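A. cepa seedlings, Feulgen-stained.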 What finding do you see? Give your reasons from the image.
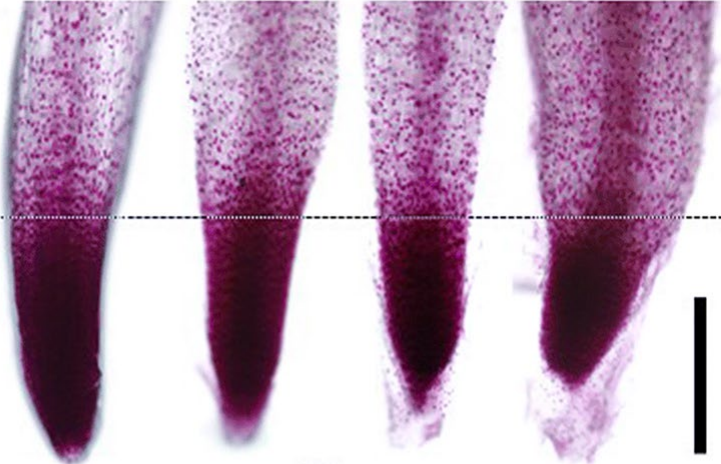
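The densely stained region below the dotted line is longest in the leftmost root tip. The densely stained region is shortest in the rightmost root tip. So: Root meristem shortening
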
